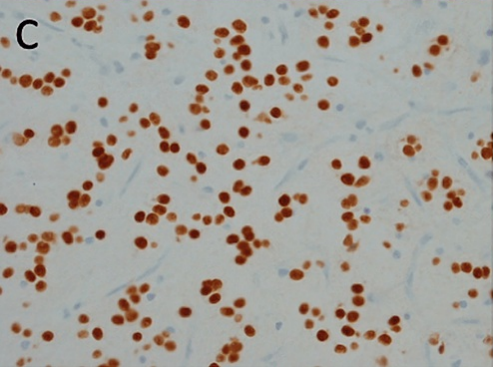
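The cytoplasm and the surrounding matrix are unstained. A few elongated, pale bluish nuclei of other cells lie between them without brown staining, some along thin strands that may be small vessels. The picture shows a population of many evenly sized round nuclei spread through a loose background.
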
